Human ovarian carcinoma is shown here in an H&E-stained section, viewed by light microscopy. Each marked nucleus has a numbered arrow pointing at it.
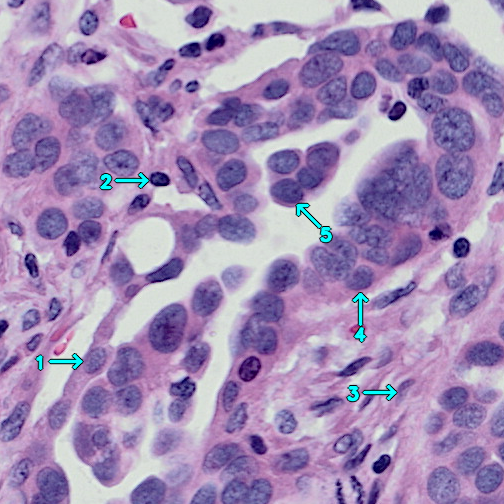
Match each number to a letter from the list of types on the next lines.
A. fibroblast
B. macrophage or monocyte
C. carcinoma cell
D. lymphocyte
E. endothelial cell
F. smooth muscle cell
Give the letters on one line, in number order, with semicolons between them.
C; D; A; C; C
